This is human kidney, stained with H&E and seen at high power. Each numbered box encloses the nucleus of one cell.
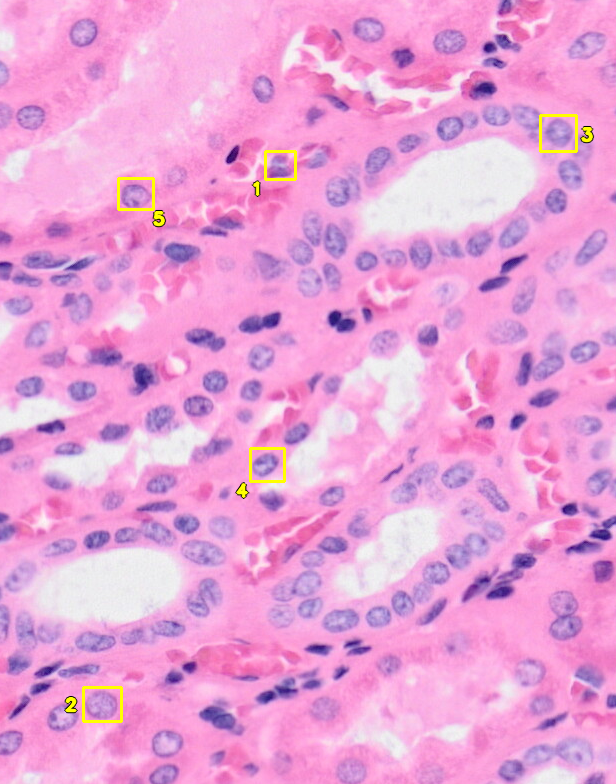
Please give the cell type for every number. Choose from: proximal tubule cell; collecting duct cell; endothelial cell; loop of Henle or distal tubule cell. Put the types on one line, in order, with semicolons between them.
endothelial cell; proximal tubule cell; collecting duct cell; loop of Henle or distal tubule cell; proximal tubule cell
